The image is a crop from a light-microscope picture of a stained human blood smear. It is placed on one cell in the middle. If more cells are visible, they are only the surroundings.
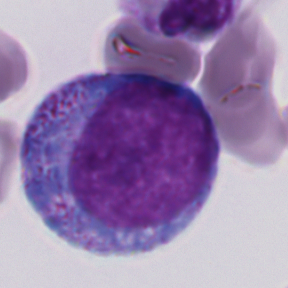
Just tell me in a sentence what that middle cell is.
This particular crop is centered on a promyelocyte.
